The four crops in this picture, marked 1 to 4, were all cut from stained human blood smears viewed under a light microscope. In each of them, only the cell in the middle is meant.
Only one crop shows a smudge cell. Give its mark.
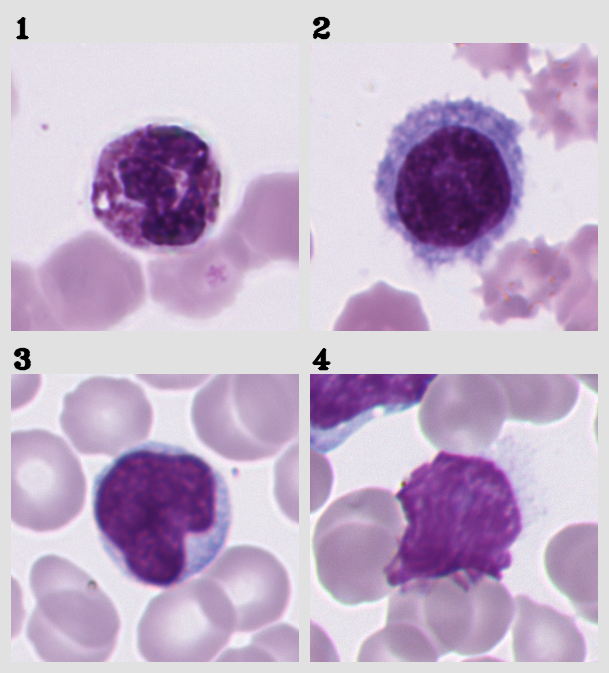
4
